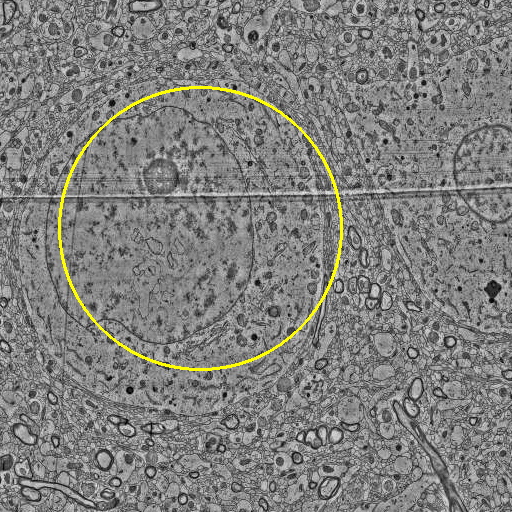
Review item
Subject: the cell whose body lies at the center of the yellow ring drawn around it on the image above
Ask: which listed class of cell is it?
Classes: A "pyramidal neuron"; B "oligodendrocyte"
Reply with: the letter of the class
A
